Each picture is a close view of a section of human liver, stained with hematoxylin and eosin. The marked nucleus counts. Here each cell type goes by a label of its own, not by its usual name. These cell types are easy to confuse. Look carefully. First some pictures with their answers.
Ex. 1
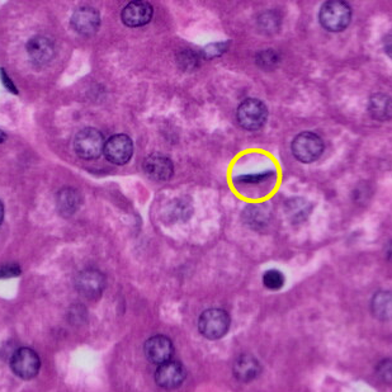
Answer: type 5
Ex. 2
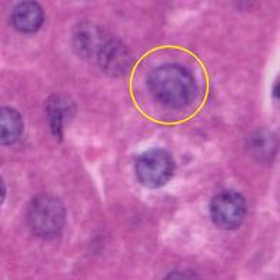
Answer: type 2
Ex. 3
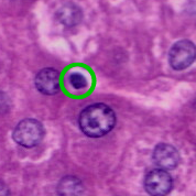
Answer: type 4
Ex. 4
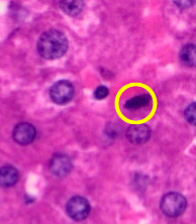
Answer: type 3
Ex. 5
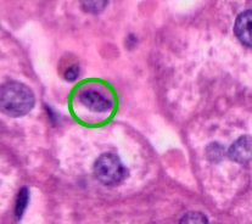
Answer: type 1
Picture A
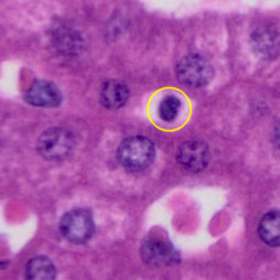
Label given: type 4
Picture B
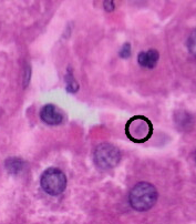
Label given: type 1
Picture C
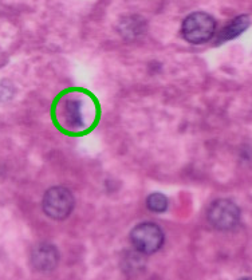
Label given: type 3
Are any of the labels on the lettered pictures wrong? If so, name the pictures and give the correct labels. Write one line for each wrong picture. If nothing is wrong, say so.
Wrong: C (type 3); correct: type 5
